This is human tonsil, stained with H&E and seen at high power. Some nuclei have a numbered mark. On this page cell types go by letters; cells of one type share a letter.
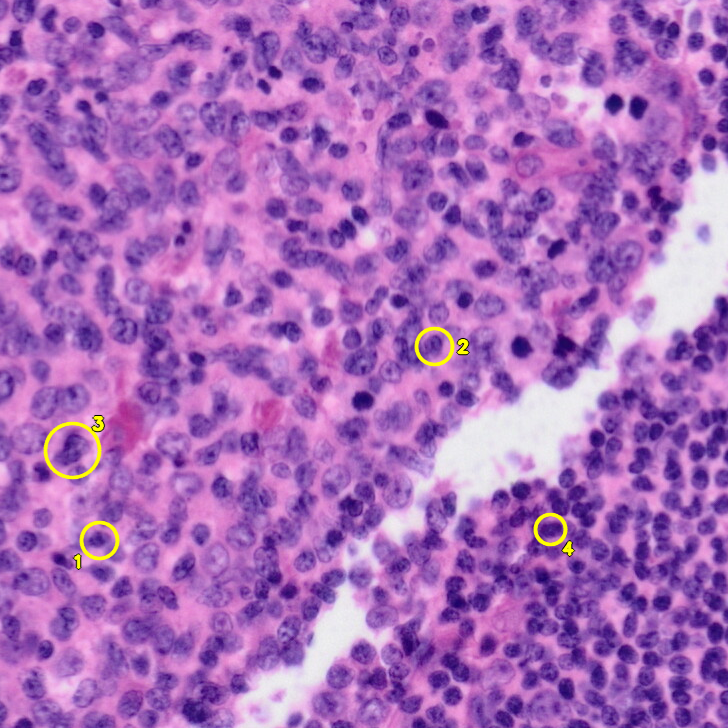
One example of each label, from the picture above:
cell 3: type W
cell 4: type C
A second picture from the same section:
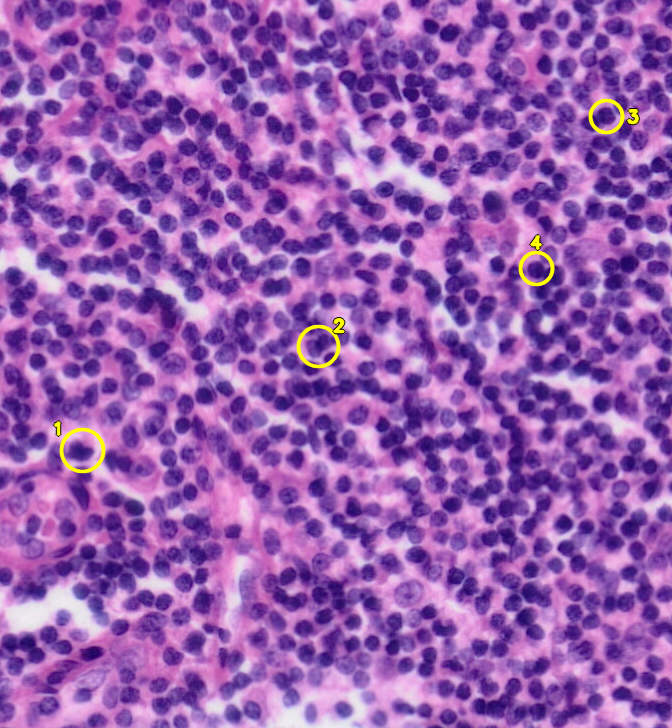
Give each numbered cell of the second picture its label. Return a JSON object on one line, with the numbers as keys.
{"1": "type W", "2": "type C", "3": "type C", "4": "type C"}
